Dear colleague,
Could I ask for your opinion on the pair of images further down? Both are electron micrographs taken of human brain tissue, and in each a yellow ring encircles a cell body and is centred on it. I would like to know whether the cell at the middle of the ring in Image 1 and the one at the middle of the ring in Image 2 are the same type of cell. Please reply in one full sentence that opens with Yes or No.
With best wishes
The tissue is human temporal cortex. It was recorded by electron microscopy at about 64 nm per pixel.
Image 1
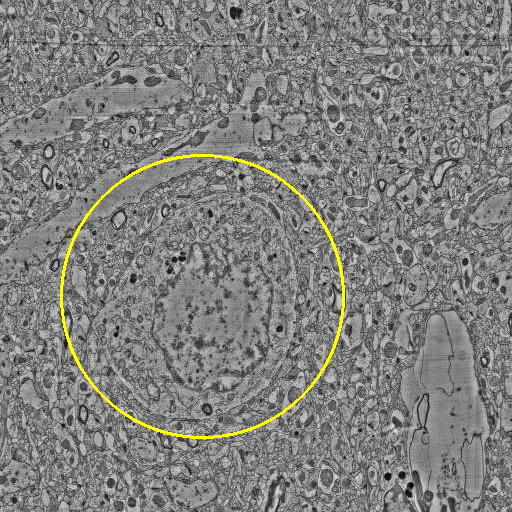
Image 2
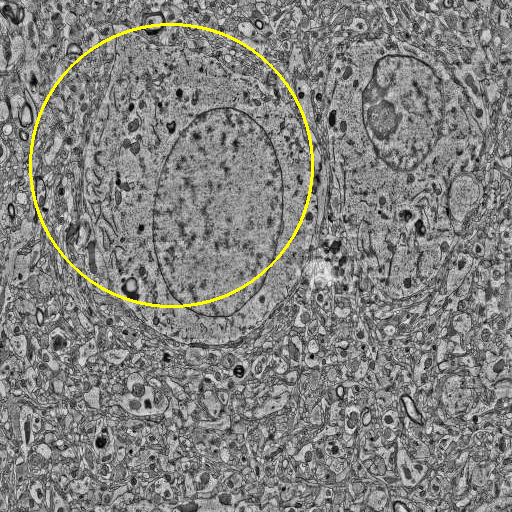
No, the cells at the ring centres in Image 1 and Image 2 are of two types.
